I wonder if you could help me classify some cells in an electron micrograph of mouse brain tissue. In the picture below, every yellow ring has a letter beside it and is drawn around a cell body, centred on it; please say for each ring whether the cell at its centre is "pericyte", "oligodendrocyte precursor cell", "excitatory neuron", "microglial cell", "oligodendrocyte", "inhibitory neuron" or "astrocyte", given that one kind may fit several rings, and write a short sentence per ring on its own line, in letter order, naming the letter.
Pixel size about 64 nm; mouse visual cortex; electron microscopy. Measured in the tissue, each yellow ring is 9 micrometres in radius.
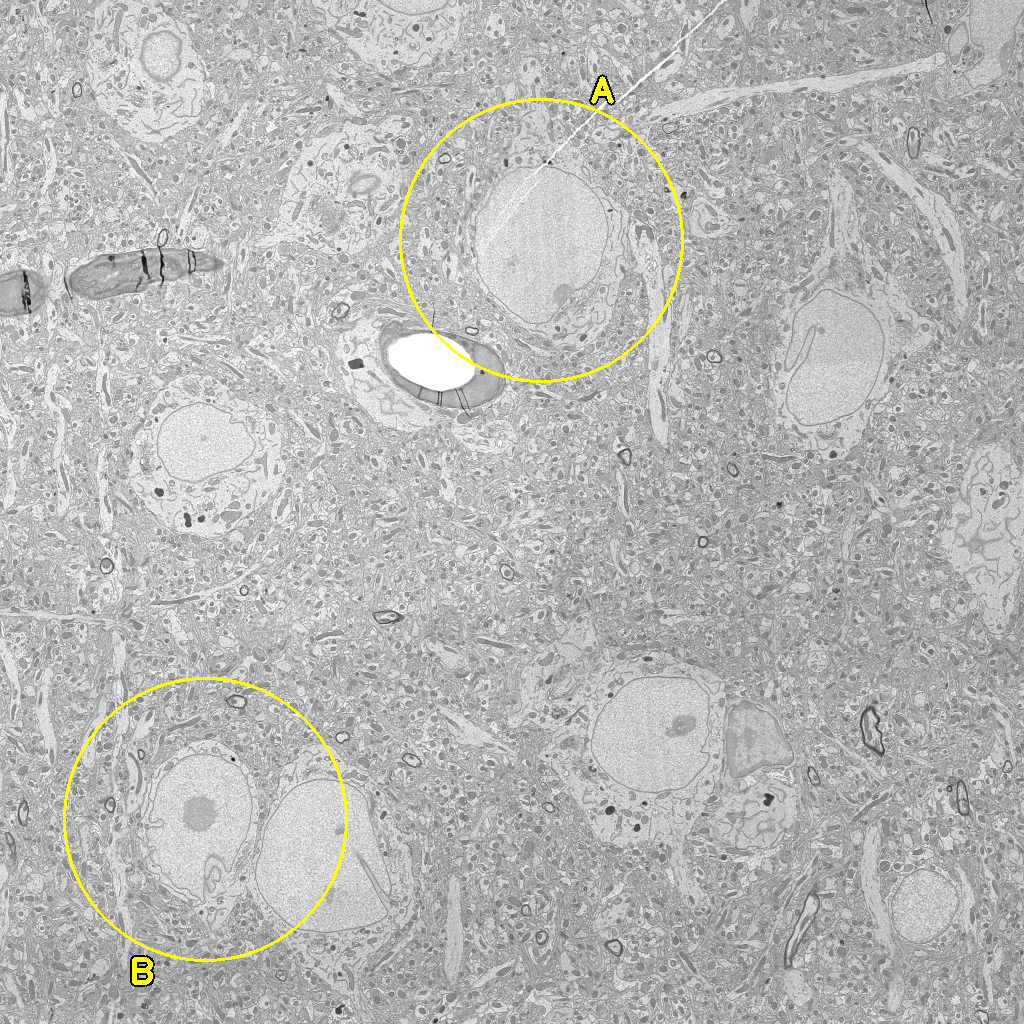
Centred in ring A is an excitatory neuron.
Centred in ring B is an inhibitory neuron.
